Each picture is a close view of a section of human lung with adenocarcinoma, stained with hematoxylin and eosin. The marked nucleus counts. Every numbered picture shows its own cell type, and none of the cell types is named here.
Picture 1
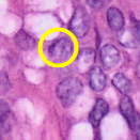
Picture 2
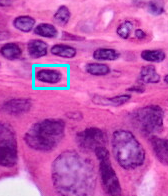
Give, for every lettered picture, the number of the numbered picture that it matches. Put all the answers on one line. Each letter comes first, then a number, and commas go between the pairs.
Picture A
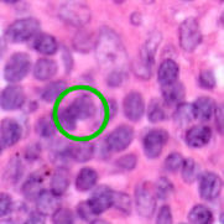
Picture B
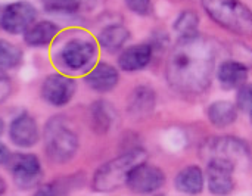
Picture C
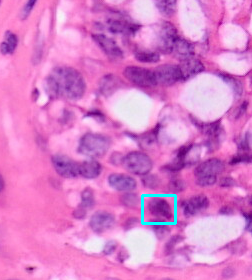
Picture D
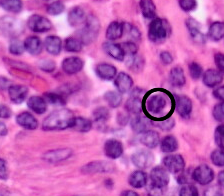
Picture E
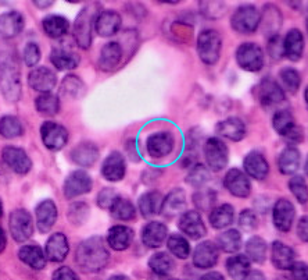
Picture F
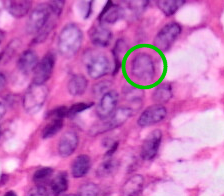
A 2, B 2, C 1, D 2, E 2, F 1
